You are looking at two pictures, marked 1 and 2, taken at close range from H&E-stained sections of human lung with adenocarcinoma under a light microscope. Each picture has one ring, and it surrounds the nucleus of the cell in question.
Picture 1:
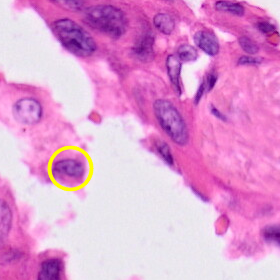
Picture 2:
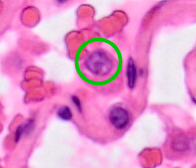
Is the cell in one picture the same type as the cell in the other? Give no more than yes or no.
yes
